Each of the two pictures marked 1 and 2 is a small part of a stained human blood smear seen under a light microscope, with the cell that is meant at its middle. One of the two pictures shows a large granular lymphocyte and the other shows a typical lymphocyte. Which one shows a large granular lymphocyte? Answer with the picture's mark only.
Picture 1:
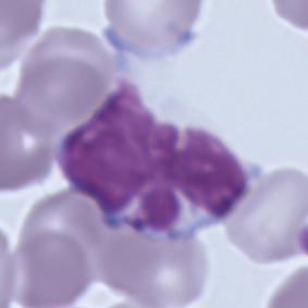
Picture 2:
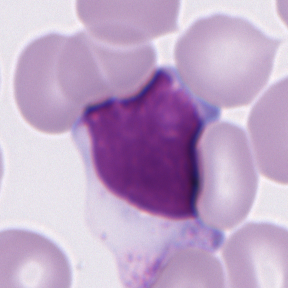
2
